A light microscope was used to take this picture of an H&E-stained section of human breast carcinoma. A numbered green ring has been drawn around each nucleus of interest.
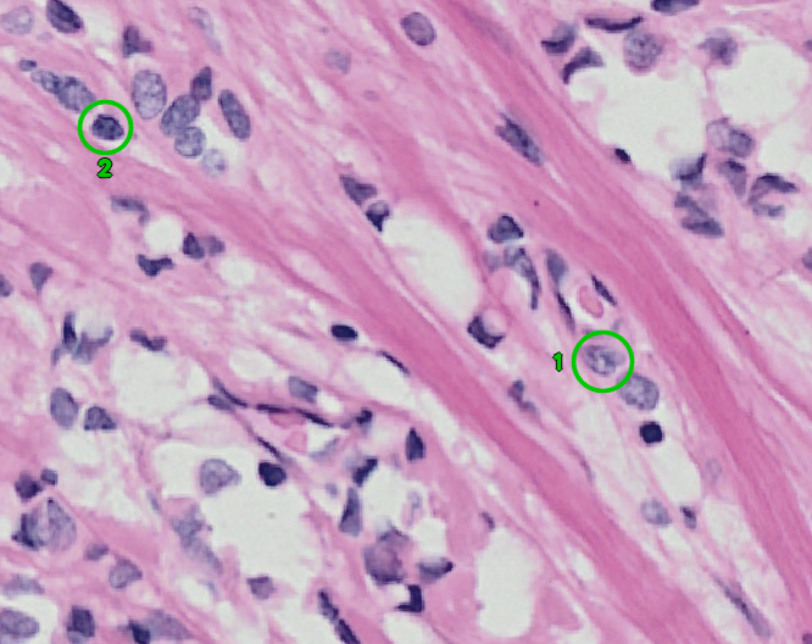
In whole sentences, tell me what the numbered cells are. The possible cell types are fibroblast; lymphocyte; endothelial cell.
Cell 1 is an endothelial cell and cell 2 is a lymphocyte.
